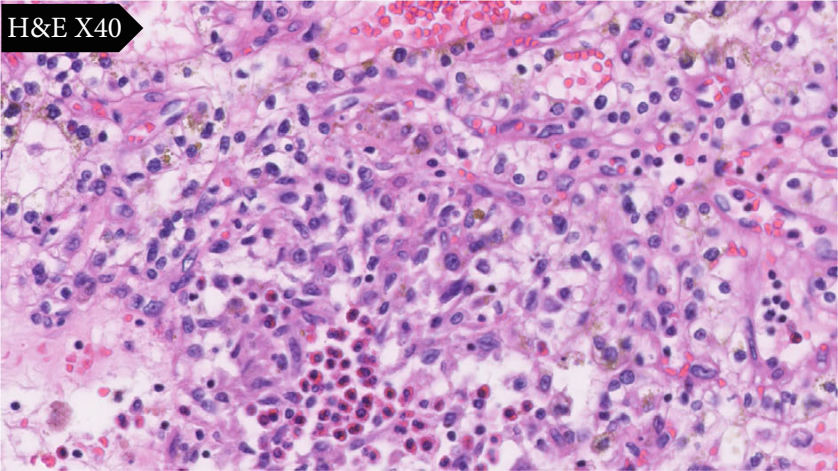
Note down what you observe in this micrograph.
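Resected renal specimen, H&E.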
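At high power, this field shows a mixed cellular infiltrate in the kidney. Many mid-sized cells have pale pink cytoplasm and oval, elongated or irregularly folded nuclei with fine chromatin, and they lie loosely scattered. In the lower centre is a tight cluster of cells whose cytoplasm is packed with bright red-orange granules and whose small dark nuclei are partly lobed. Around the edges, especially at the upper right, are cells with clear, empty-looking cytoplasm. Scattered red blood cells and golden-brown pigment granules lie in a loose, pale, oedematous background.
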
